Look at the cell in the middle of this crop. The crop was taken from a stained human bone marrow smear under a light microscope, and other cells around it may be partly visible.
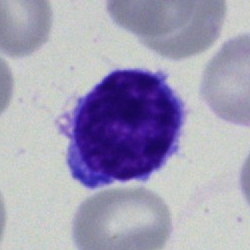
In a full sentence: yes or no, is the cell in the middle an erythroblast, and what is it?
No, the cell sitting in the centre of the crop is a lymphocyte, not an erythroblast.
